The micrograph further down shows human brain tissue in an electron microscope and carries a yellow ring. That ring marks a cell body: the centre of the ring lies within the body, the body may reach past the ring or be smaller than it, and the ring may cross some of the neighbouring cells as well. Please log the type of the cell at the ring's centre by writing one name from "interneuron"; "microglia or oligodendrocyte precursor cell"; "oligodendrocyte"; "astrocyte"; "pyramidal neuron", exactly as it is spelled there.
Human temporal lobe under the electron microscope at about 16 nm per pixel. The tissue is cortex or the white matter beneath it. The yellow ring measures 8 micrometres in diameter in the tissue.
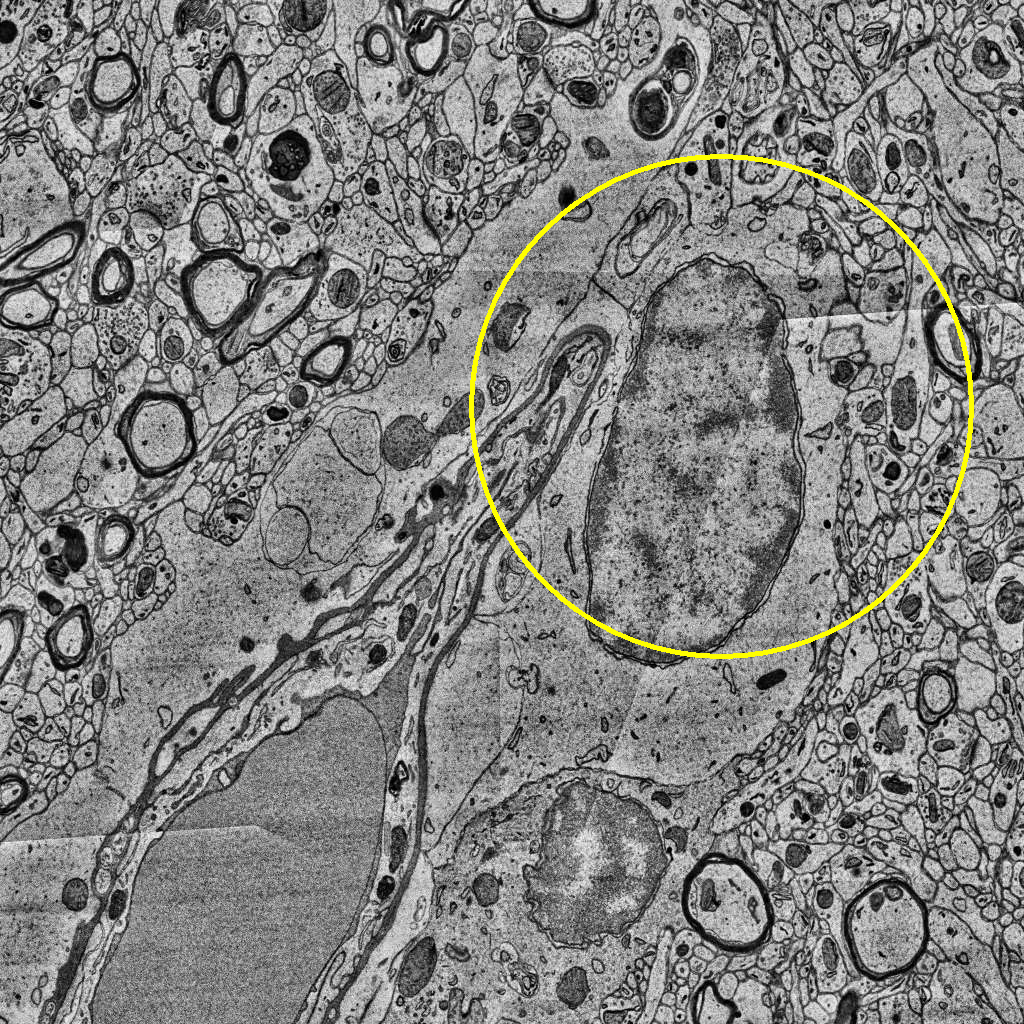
microglia or oligodendrocyte precursor cell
